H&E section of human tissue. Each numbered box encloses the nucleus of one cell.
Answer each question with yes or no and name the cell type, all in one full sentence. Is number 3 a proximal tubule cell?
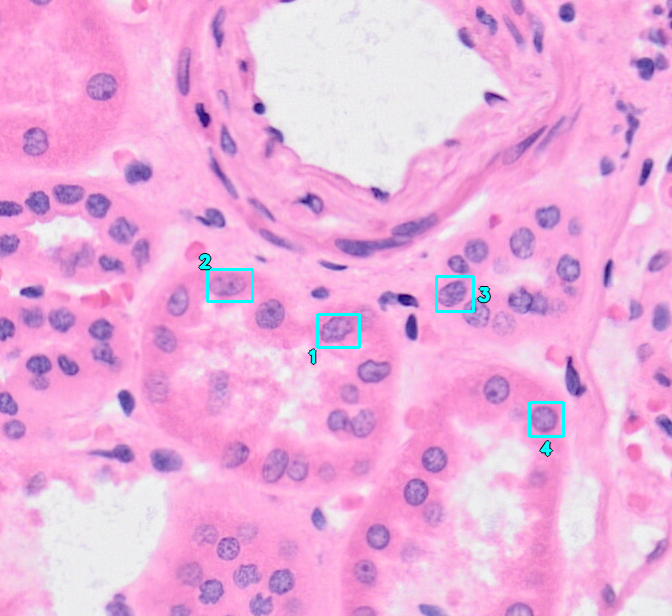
No, number 3 is not a proximal tubule cell but a collecting duct cell.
